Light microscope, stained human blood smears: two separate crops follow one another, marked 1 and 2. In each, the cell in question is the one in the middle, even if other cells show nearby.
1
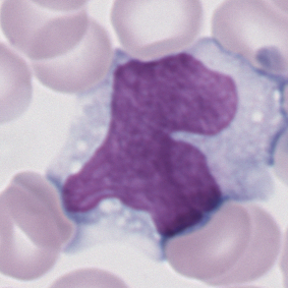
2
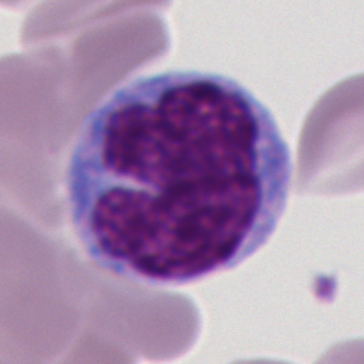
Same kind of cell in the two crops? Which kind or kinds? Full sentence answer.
Yes, both crops are centred on cells that are monocytes.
